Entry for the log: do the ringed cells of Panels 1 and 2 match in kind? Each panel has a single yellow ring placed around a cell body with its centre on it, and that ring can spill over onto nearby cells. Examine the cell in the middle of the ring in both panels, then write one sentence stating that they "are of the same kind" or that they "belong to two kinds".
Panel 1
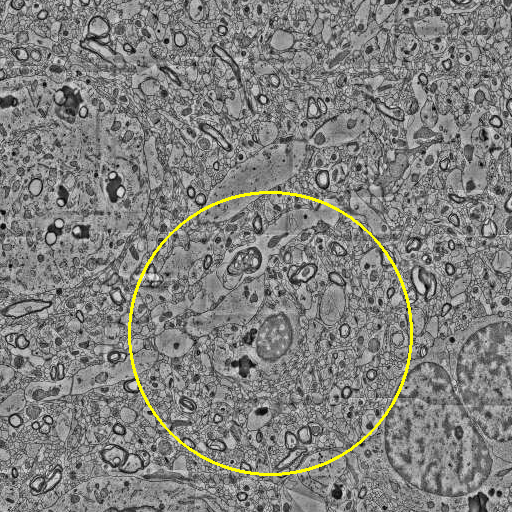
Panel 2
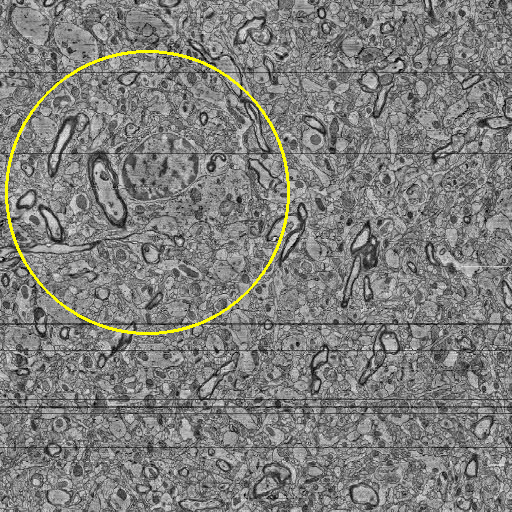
The centre cell of Panel 1's ring and that of Panel 2's ring belong to two kinds.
